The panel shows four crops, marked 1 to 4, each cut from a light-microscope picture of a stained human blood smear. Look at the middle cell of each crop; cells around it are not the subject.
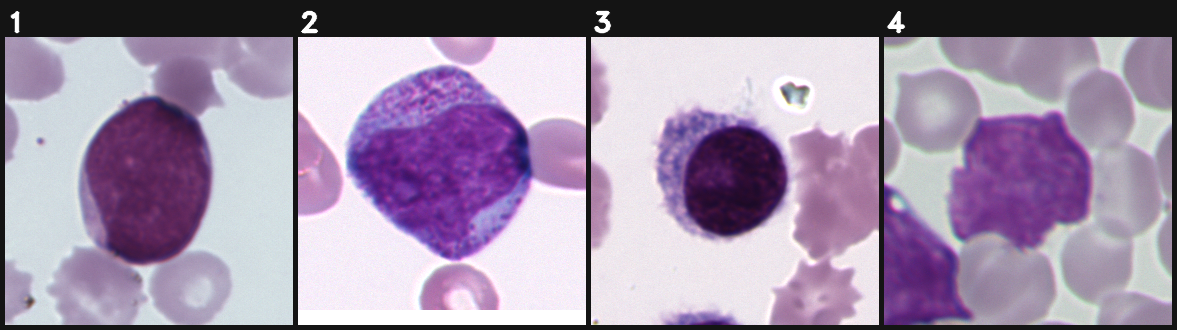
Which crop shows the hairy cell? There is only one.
3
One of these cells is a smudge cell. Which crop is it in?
4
